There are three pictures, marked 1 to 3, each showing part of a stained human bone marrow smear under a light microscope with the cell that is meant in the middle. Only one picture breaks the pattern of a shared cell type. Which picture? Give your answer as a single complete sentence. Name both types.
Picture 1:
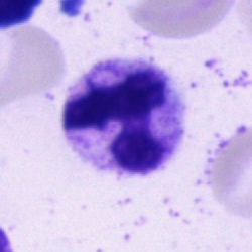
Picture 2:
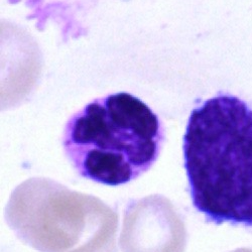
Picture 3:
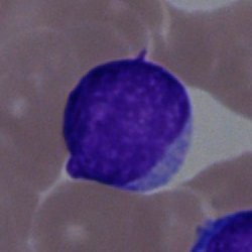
All pictures except 3 show segmented neutrophils; picture 3 shows a blast.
